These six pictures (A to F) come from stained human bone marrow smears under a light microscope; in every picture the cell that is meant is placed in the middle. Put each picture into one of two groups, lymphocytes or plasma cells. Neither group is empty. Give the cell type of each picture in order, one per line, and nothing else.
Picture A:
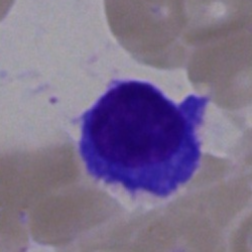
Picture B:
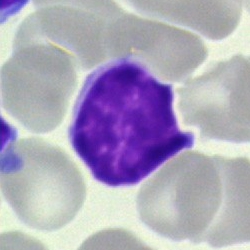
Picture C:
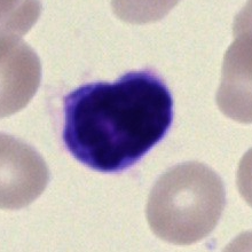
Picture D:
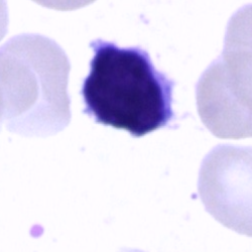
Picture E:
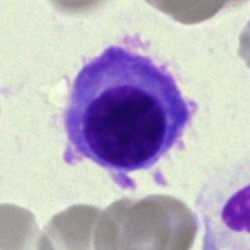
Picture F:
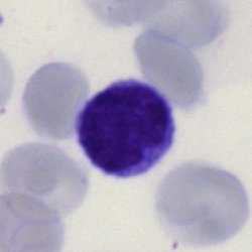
plasma cell
lymphocyte
lymphocyte
lymphocyte
plasma cell
lymphocyte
